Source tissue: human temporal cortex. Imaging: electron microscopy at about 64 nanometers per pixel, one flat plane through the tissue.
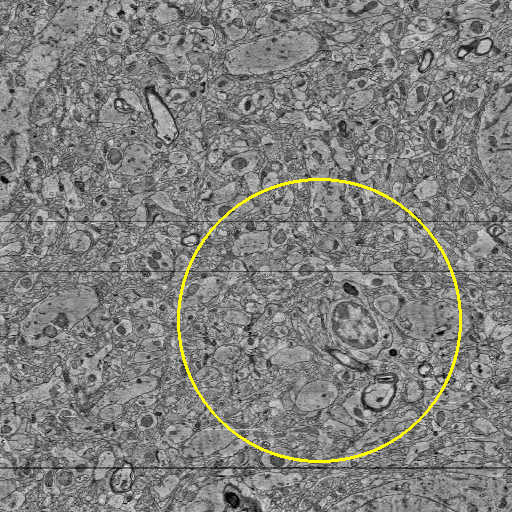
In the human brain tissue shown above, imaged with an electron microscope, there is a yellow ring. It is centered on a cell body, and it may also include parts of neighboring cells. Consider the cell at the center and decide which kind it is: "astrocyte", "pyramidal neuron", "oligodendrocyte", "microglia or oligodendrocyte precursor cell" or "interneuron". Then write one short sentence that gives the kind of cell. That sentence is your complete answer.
This centered cell body is that of a microglial cell or oligodendrocyte precursor cell.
